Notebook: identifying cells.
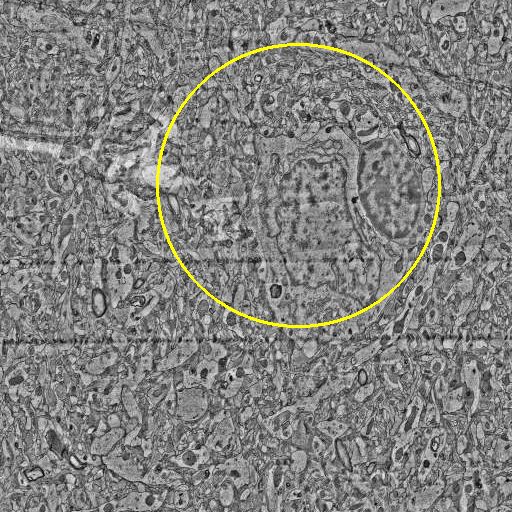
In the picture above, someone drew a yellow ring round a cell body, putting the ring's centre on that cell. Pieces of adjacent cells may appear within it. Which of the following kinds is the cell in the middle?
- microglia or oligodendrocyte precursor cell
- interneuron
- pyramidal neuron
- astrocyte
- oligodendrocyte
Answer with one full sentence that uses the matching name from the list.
In this picture, the yellow ring is centred on the body of an interneuron.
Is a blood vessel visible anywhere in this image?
No, none appears.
